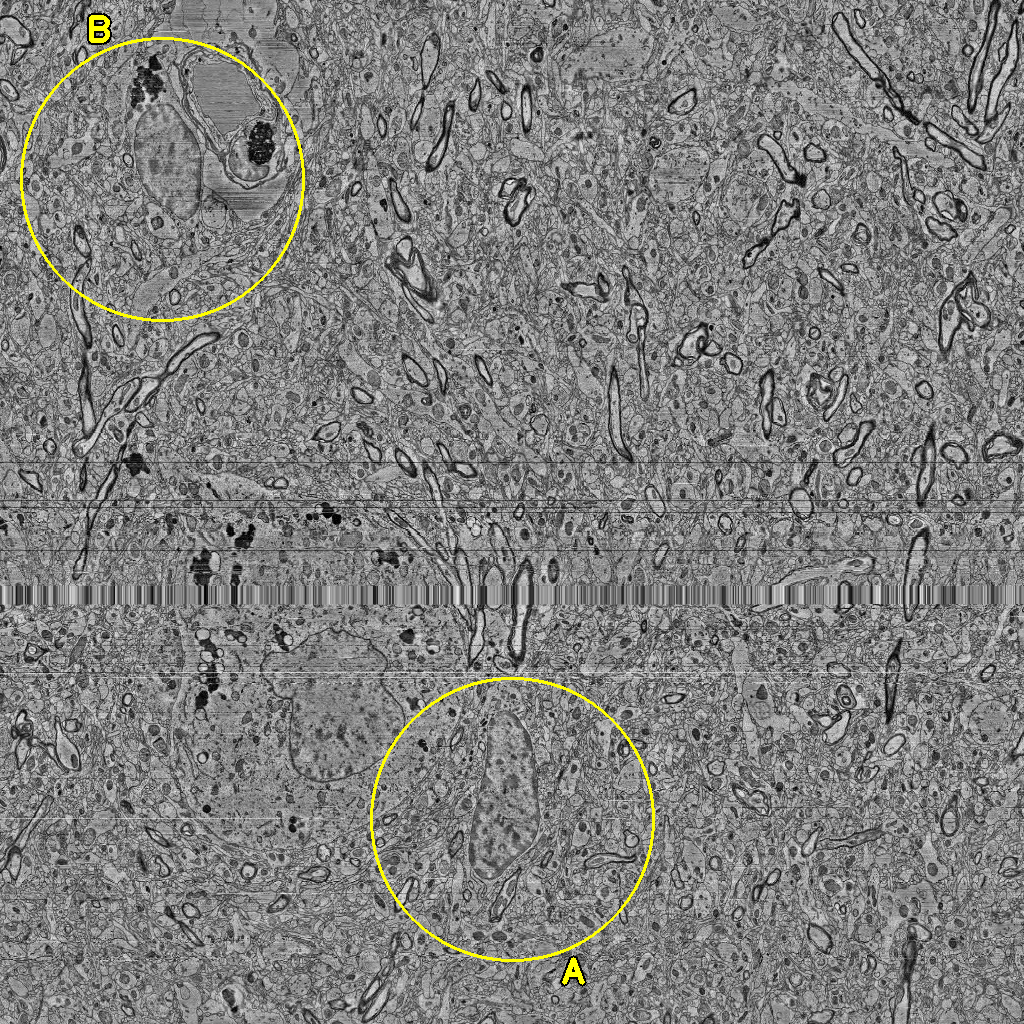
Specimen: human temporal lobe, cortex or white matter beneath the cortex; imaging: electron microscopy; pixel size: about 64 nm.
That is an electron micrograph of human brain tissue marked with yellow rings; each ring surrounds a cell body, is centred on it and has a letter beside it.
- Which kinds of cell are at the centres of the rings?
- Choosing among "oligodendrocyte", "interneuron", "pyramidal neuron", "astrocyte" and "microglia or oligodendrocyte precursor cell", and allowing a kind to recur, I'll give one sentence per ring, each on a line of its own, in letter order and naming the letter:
Ring A sits around a microglial cell or oligodendrocyte precursor cell.
Ring B sits around an oligodendrocyte.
